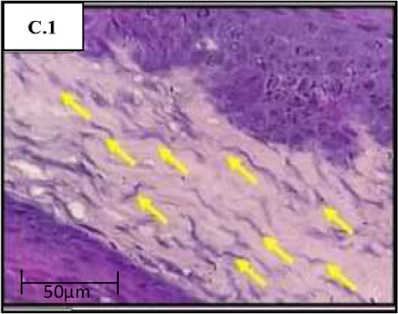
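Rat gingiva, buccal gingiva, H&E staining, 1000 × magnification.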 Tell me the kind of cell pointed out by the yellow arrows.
Fibroblast cells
